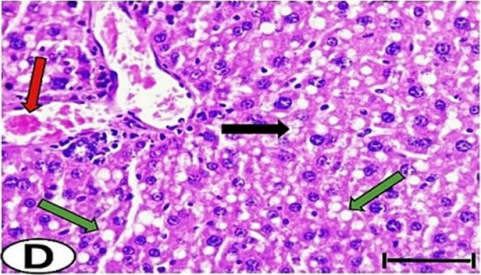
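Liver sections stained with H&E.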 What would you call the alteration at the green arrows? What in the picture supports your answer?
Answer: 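Fatty deposition. The green arrows point at clear, round, empty vacuoles in hepatocyte cytoplasm. Many such round vacuoles fill the cells across the field.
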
